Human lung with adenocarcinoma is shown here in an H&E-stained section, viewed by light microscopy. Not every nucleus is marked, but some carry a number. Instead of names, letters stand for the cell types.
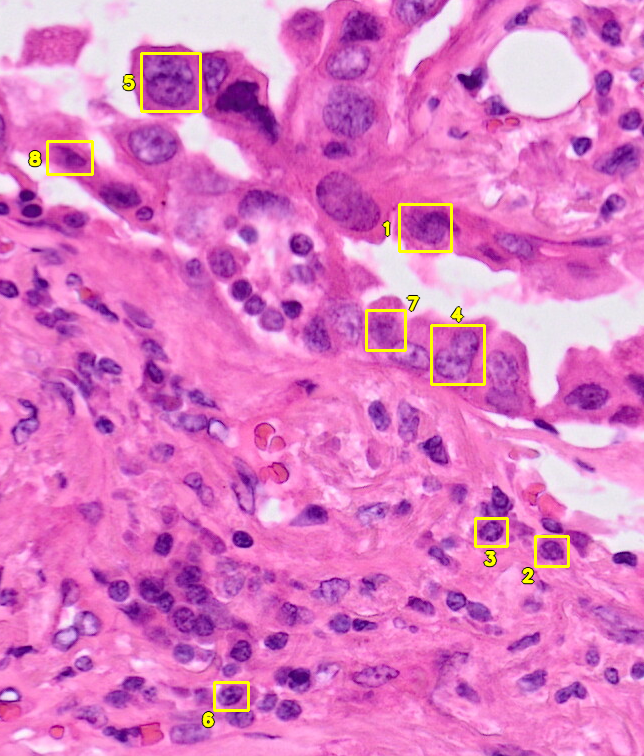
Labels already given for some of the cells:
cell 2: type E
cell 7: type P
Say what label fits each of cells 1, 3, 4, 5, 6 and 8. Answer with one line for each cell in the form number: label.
1: type P
3: type E
4: type P
5: type P
6: type E
8: type P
